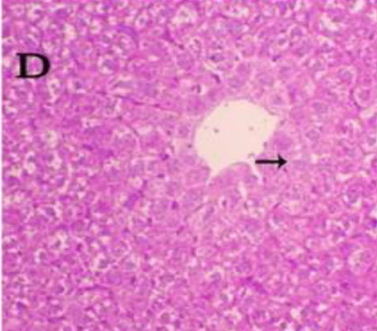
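This liver section shows hepatocytes around a large vessel lumen. The swollen cells crowd together so that the sinusoidal spaces between the cords are barely visible. The vessel lumen is empty and lined by a thin wall. Across the field the tissue has a washed-out, mottled look instead of evenly pink cords.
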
